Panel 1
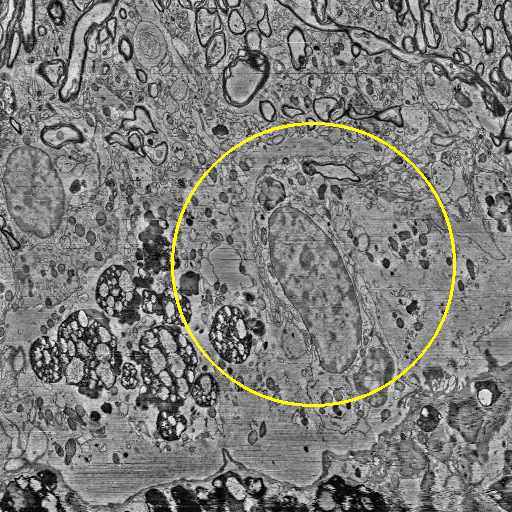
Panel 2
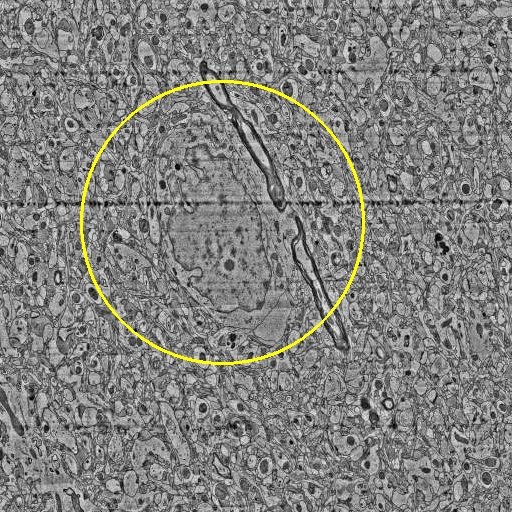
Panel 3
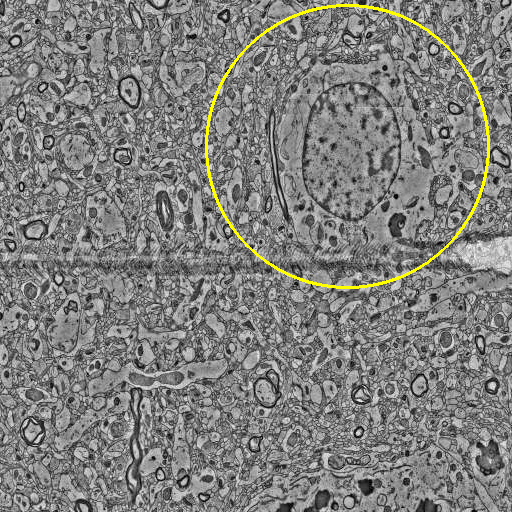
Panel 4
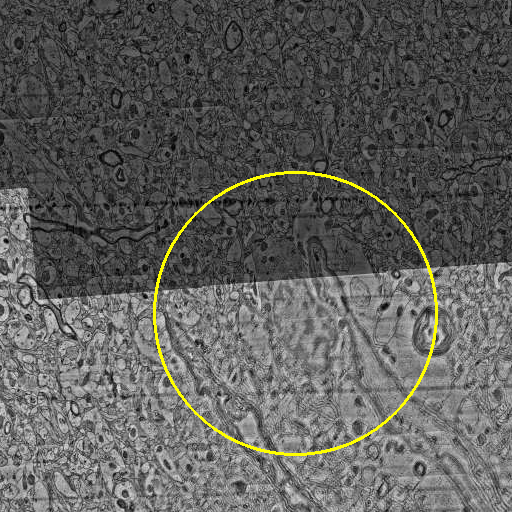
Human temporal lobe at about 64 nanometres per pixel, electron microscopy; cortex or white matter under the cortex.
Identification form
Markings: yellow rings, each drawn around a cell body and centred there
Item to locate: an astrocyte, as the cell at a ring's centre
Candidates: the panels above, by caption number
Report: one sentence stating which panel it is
It is Panel 3.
